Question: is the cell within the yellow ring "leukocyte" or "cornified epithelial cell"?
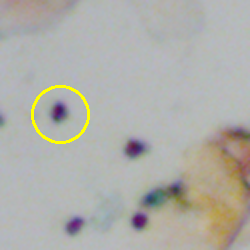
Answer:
leukocyte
